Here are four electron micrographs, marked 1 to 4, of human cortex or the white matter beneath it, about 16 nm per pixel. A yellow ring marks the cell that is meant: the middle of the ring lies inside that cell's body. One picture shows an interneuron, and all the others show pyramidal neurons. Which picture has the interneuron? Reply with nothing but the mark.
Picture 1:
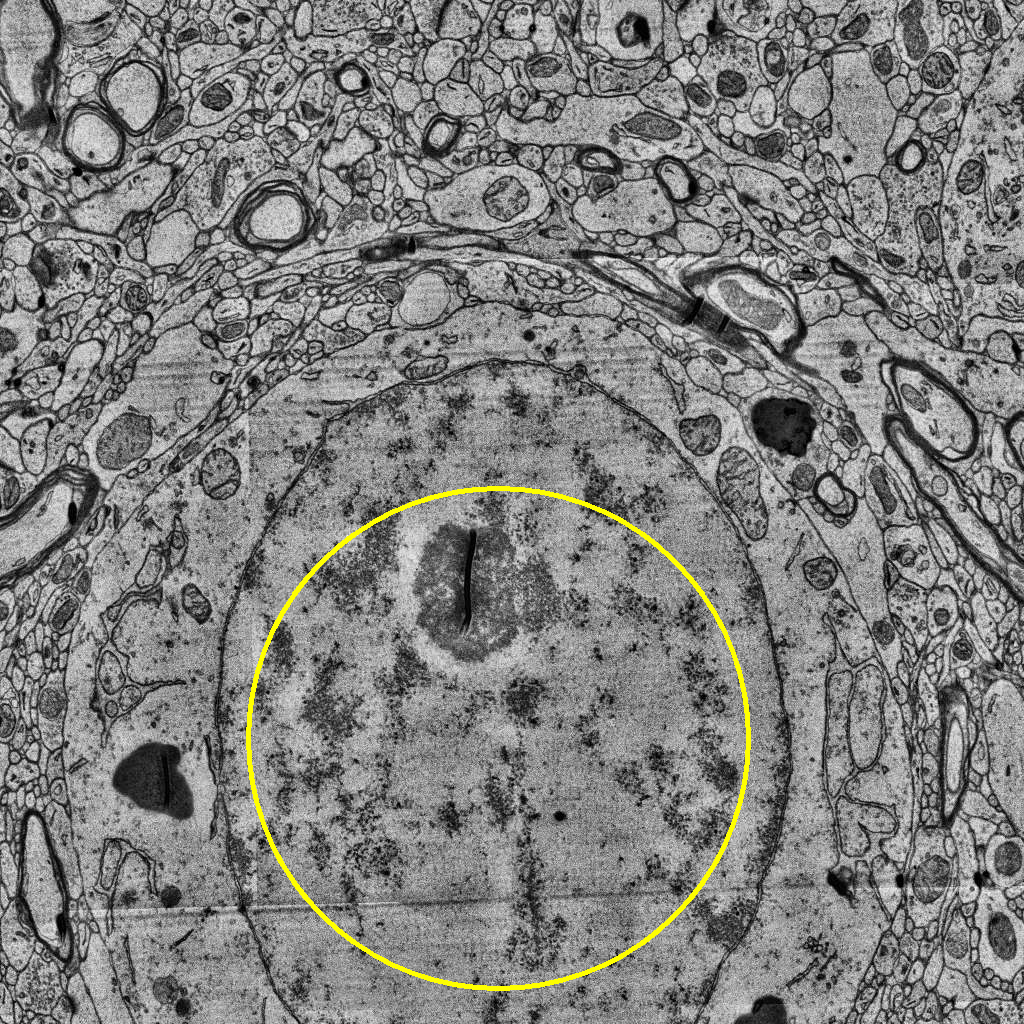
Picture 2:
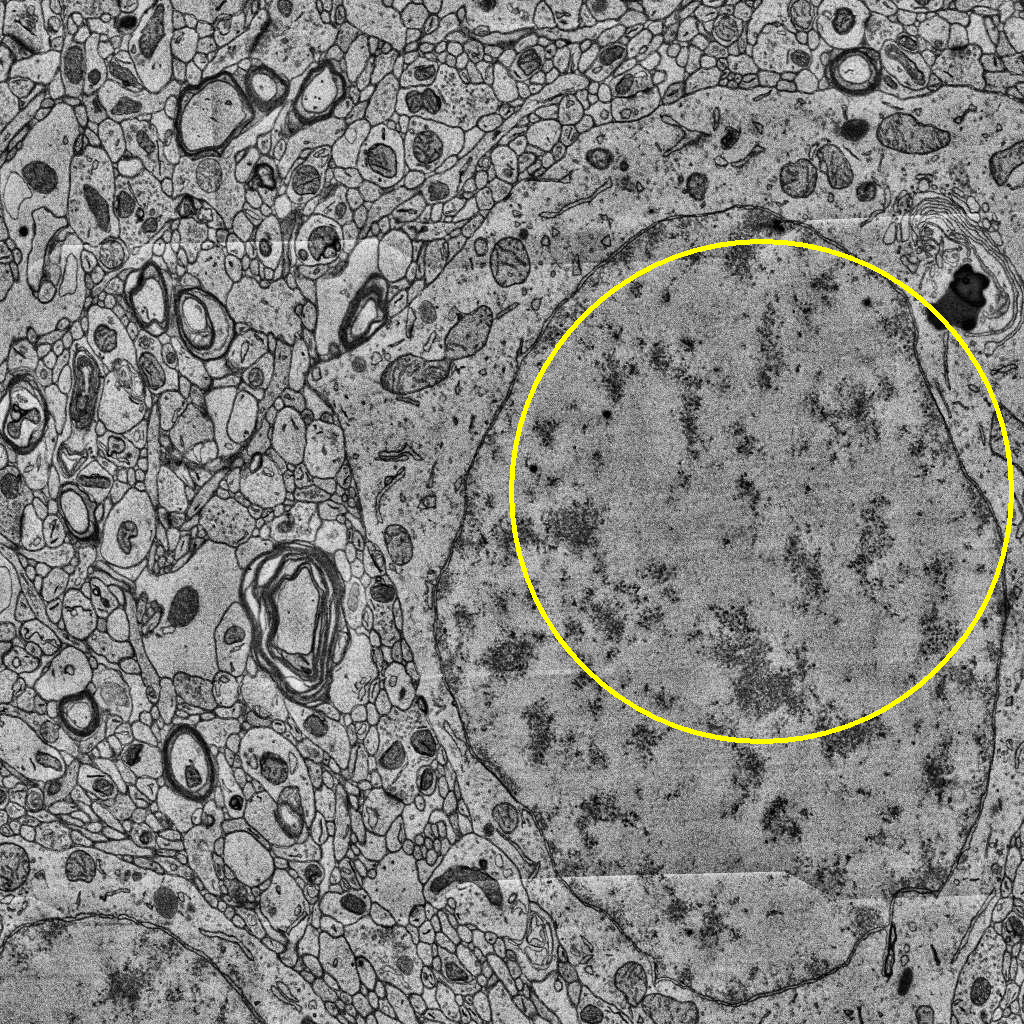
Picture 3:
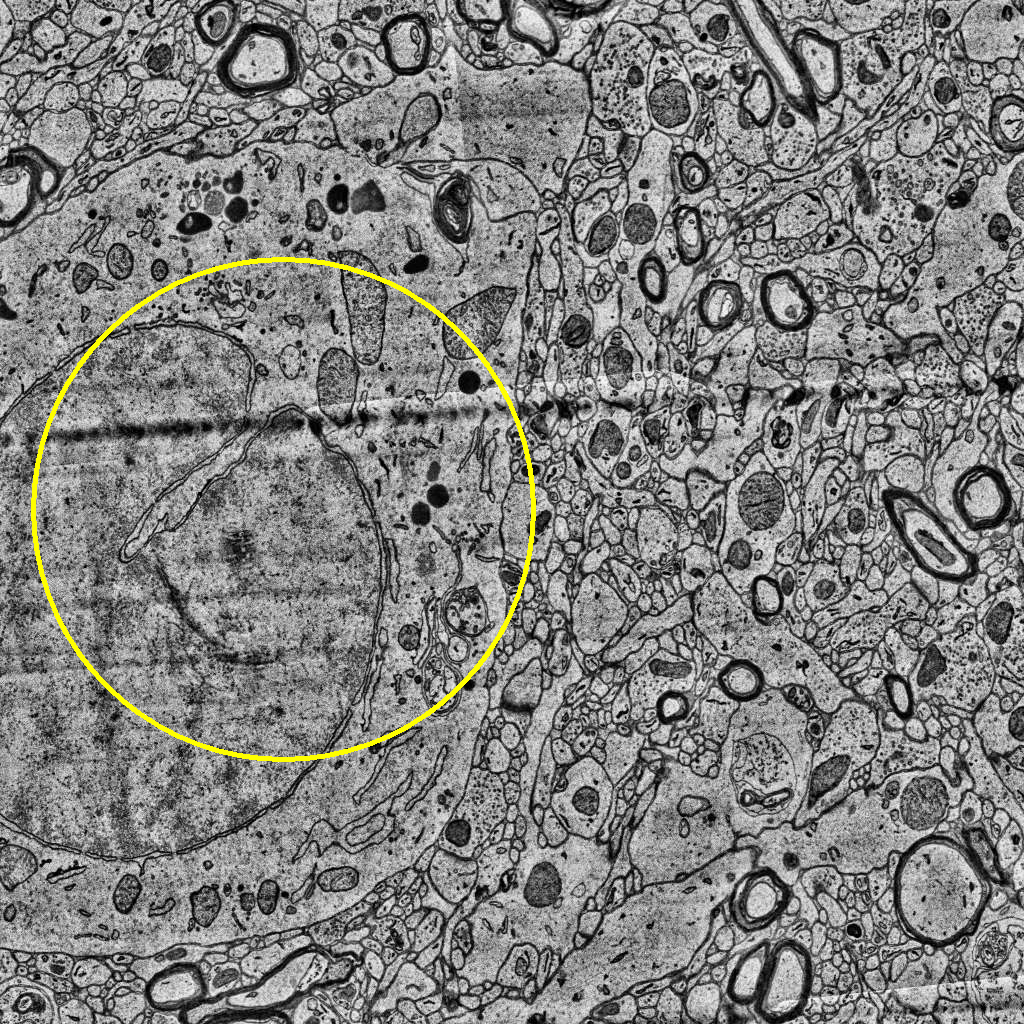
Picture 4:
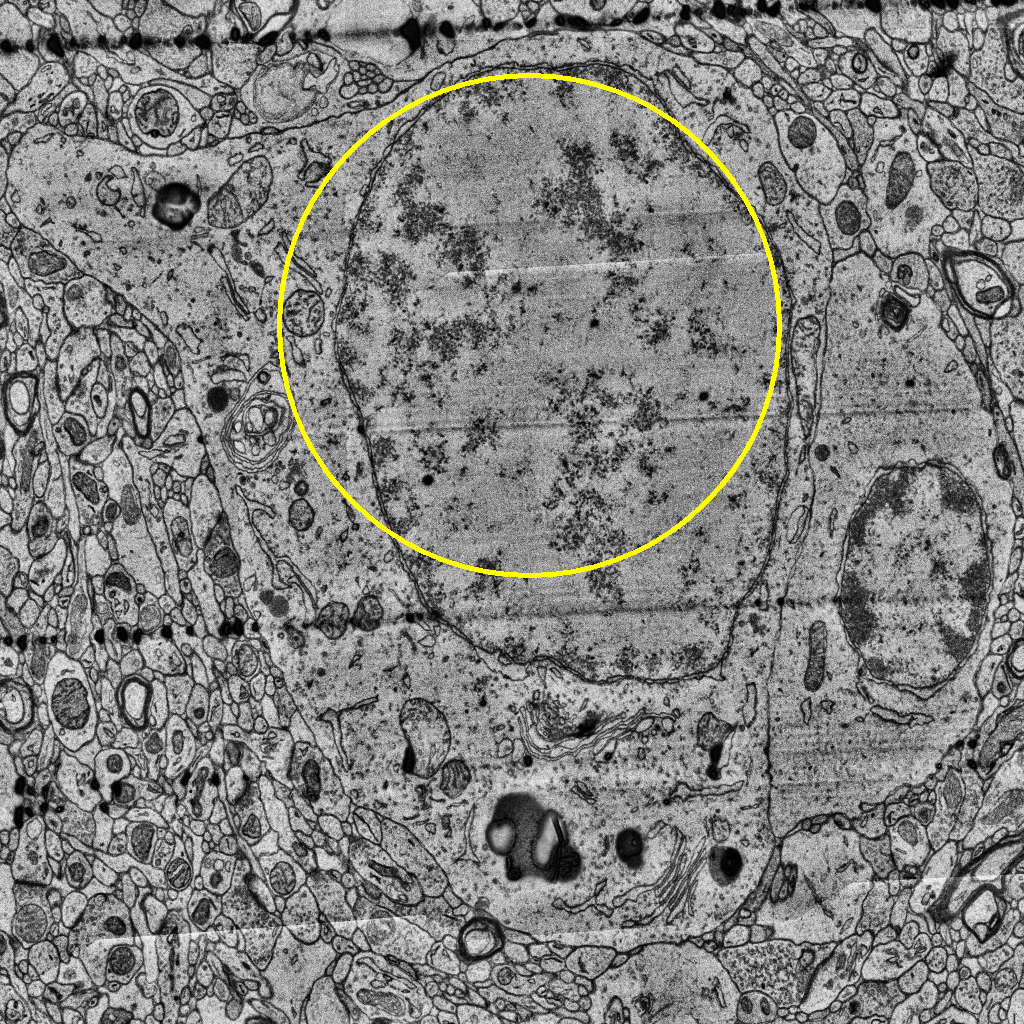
3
